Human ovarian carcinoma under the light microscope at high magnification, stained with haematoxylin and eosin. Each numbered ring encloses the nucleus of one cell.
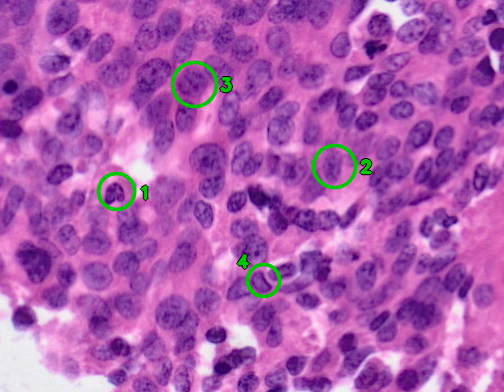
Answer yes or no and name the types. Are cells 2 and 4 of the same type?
Yes, the two numbered cells 2 and 4 are both carcinoma cells.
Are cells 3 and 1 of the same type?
No, cell 3 is typed as a carcinoma cell, and cell 1 is typed as a macrophage or monocyte.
